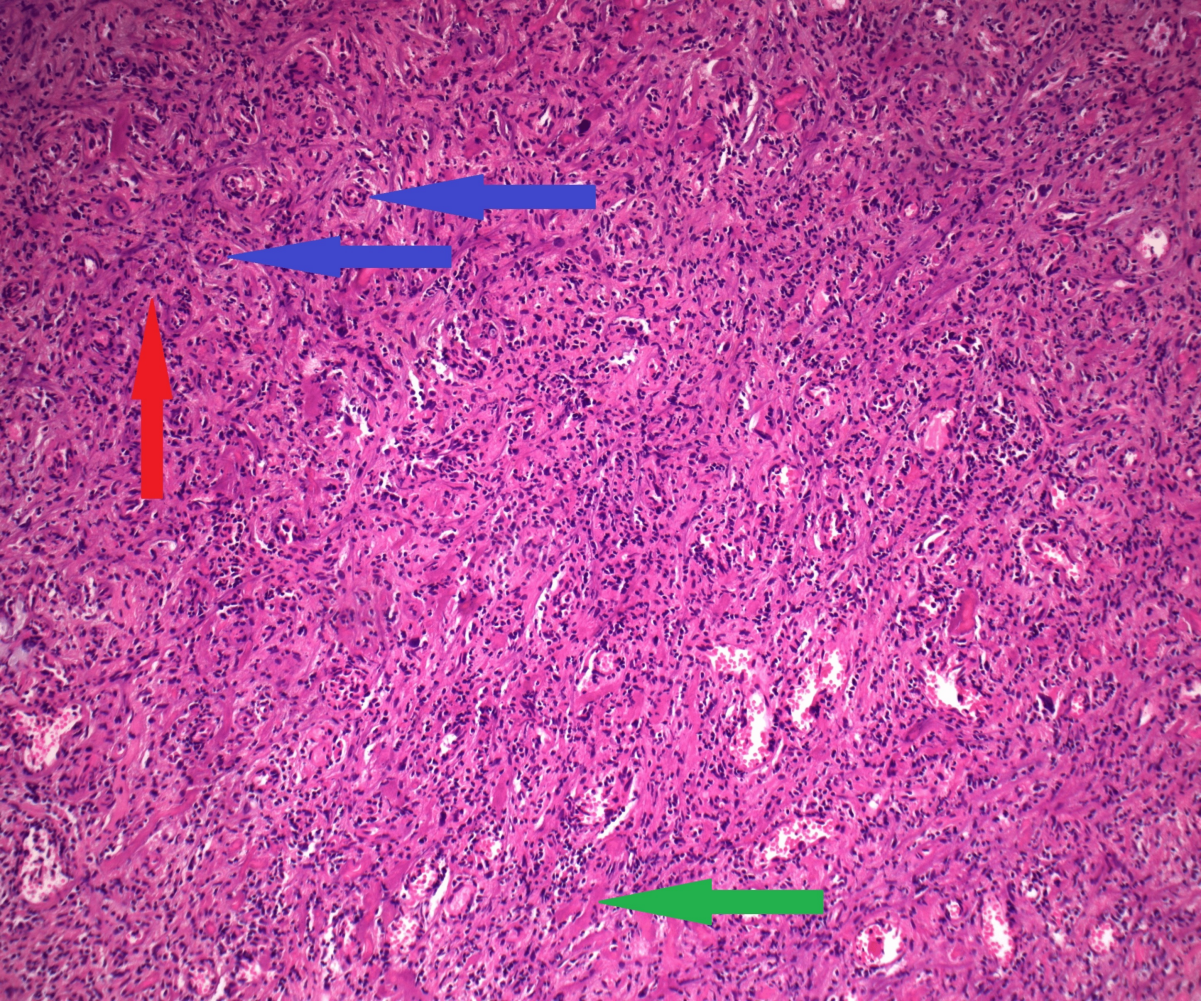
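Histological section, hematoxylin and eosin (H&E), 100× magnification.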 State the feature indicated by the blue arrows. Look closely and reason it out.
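Small vessels. Small rounded spaces lined by flattened cells. Many such small lumens are scattered through the tissue, some holding red blood cells.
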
